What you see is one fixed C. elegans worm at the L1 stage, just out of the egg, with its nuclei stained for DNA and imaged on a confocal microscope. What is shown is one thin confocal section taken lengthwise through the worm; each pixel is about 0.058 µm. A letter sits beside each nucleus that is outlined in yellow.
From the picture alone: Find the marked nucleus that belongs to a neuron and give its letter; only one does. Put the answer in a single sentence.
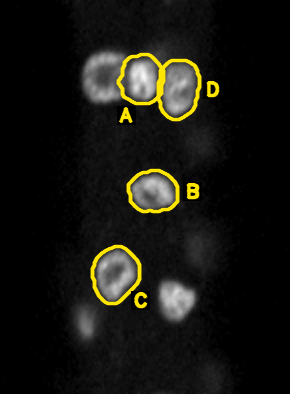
A is the nucleus of a neuron.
